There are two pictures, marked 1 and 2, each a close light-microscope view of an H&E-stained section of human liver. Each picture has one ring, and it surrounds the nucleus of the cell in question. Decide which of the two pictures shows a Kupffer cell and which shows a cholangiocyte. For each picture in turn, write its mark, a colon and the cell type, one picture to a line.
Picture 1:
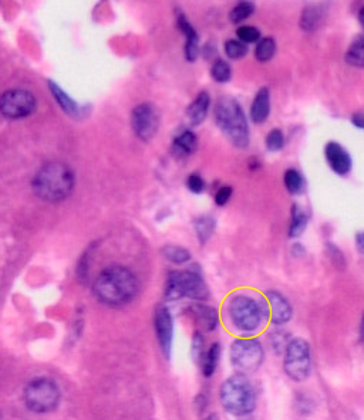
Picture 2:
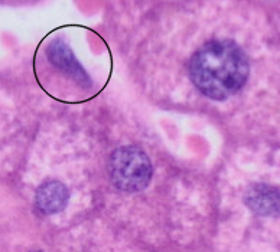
1: cholangiocyte
2: Kupffer cell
